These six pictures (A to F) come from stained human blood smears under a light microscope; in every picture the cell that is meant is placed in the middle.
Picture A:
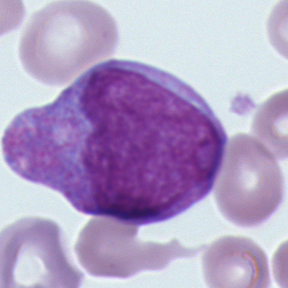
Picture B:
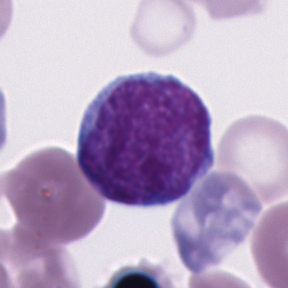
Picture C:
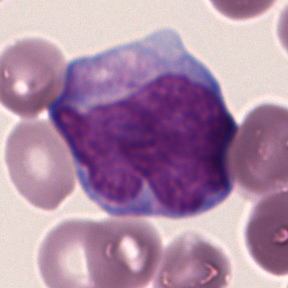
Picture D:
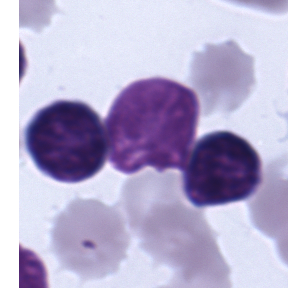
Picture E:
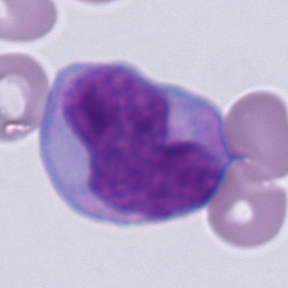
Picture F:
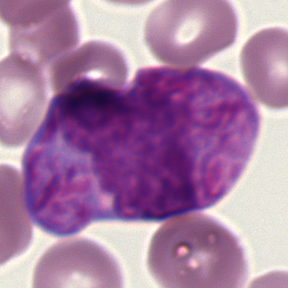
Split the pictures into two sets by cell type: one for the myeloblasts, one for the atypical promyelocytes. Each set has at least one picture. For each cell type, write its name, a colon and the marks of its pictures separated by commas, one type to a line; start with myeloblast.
myeloblast: B, D
atypical promyelocyte: A, C, E, F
